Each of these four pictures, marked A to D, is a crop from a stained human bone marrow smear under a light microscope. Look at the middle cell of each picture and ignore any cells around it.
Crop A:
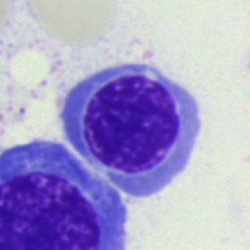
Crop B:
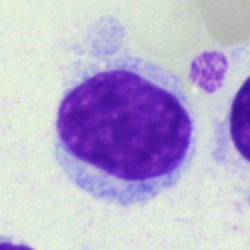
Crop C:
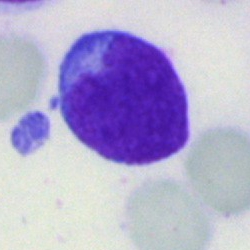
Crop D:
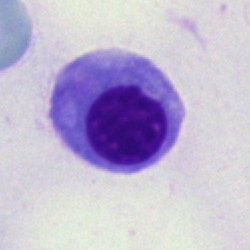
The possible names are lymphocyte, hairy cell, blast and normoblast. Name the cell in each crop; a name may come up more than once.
A: normoblast
B: hairy cell
C: blast
D: normoblast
